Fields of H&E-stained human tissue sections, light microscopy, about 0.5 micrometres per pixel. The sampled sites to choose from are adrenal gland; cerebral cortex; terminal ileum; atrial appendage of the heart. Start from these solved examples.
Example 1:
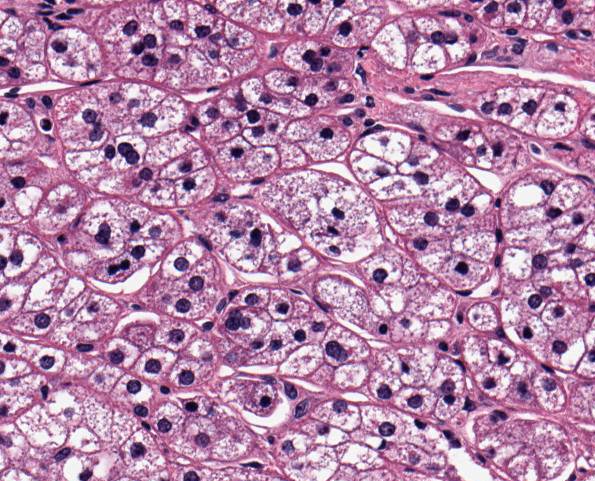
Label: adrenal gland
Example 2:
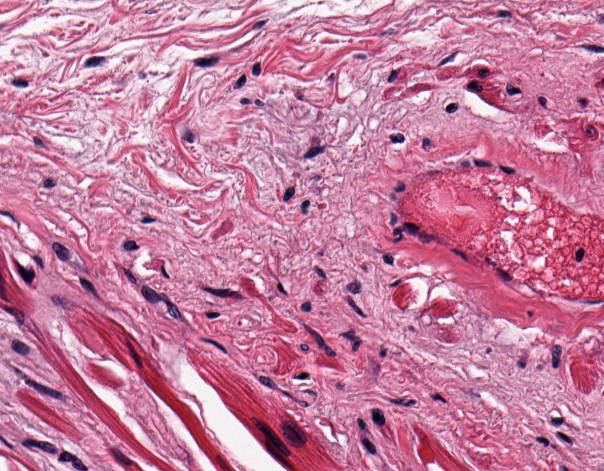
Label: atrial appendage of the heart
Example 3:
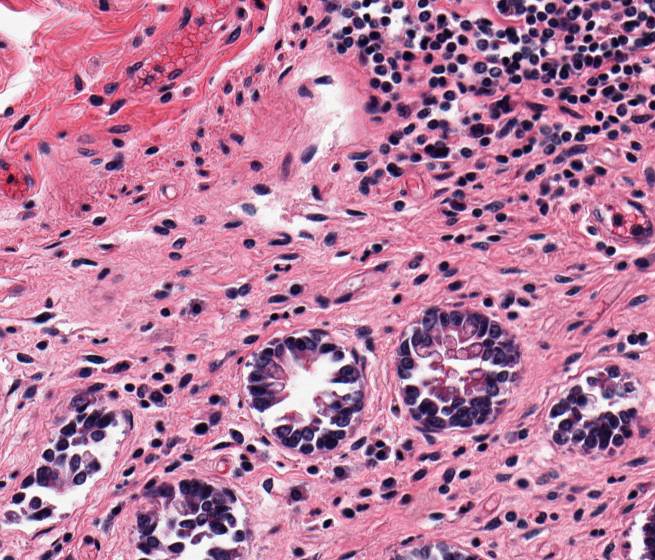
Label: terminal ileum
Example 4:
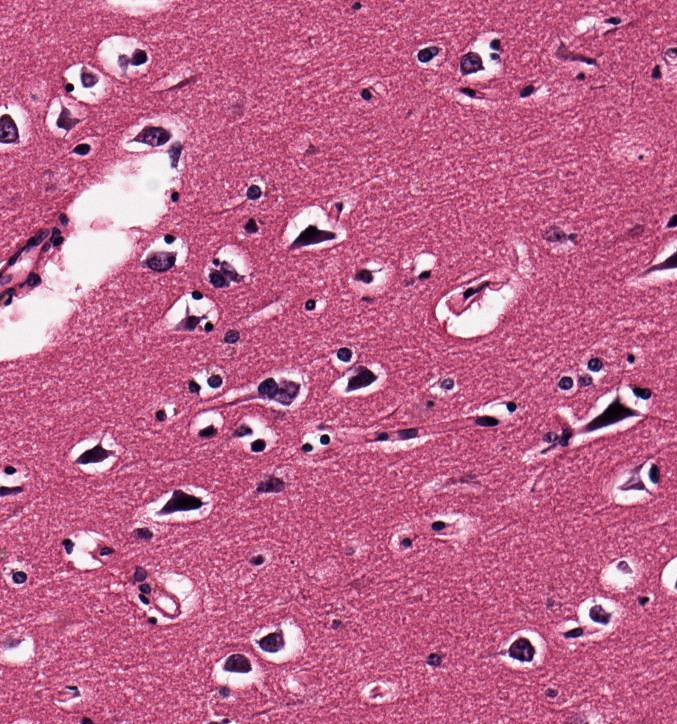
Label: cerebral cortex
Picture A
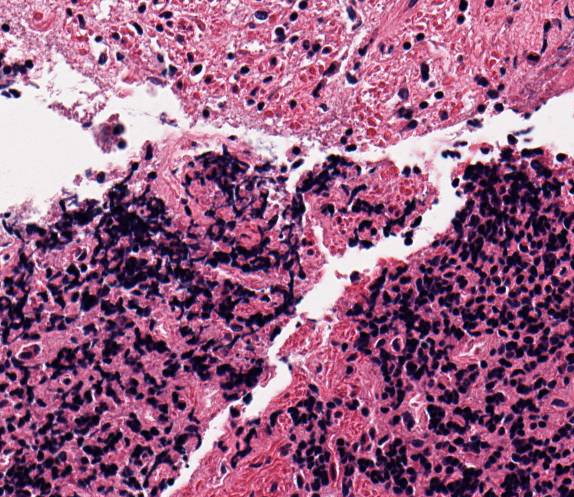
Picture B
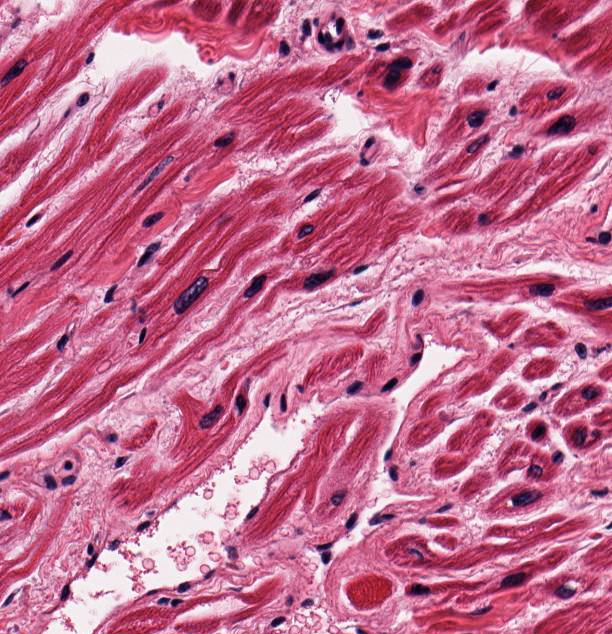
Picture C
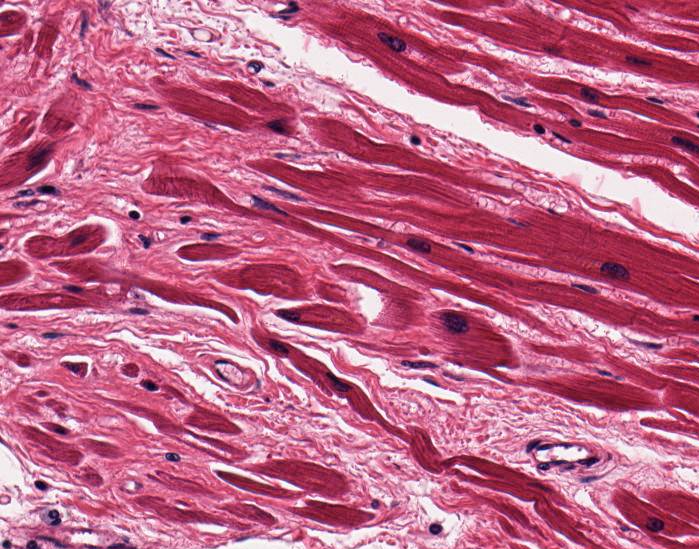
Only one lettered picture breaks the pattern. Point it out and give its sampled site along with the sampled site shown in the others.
A (terminal ileum) is the exception; every other picture is atrial appendage of the heart.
